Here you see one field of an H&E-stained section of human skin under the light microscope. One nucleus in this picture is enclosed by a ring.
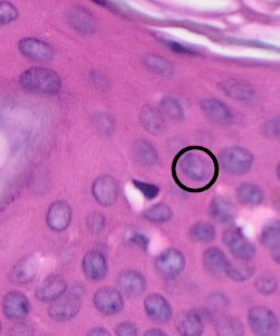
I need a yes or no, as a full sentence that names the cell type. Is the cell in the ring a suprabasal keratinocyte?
Yes, when classified by type, the cell in the ring is a suprabasal keratinocyte.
